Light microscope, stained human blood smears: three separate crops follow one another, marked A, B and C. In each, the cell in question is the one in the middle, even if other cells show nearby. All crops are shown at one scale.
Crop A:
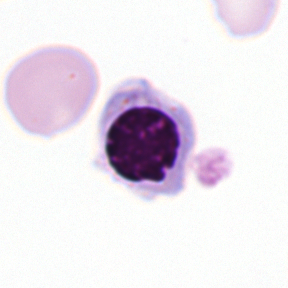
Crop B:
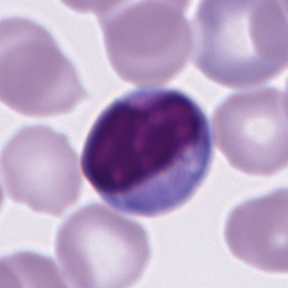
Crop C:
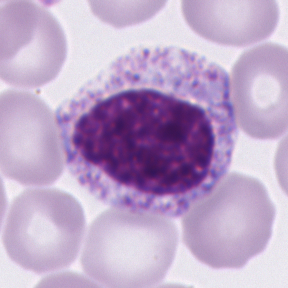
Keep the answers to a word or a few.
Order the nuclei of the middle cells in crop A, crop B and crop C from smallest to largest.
A, B, C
